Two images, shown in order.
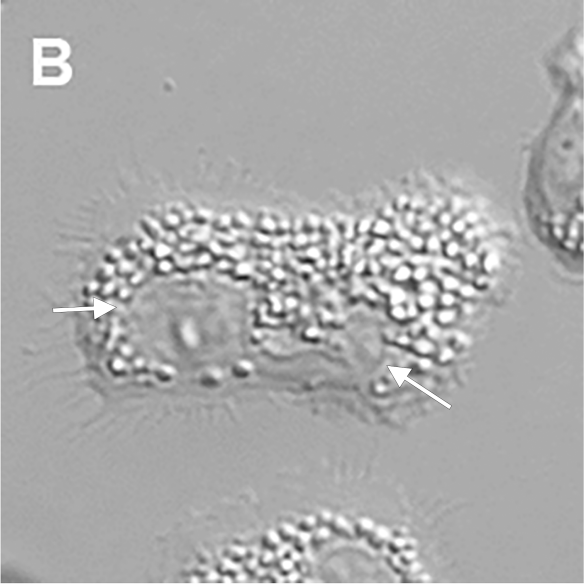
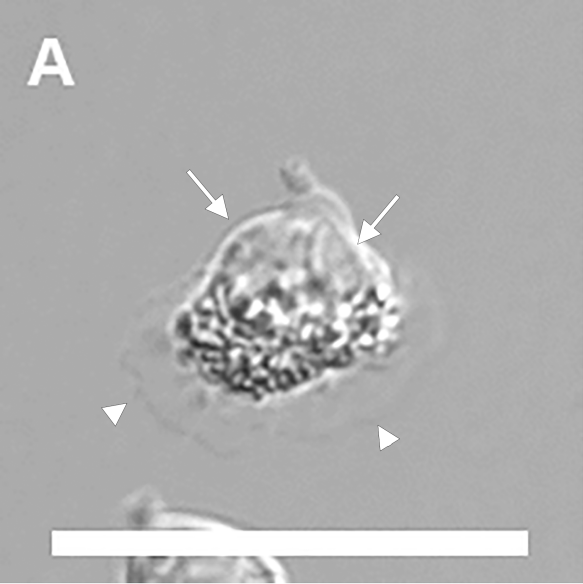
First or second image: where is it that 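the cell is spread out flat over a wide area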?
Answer: The first image.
